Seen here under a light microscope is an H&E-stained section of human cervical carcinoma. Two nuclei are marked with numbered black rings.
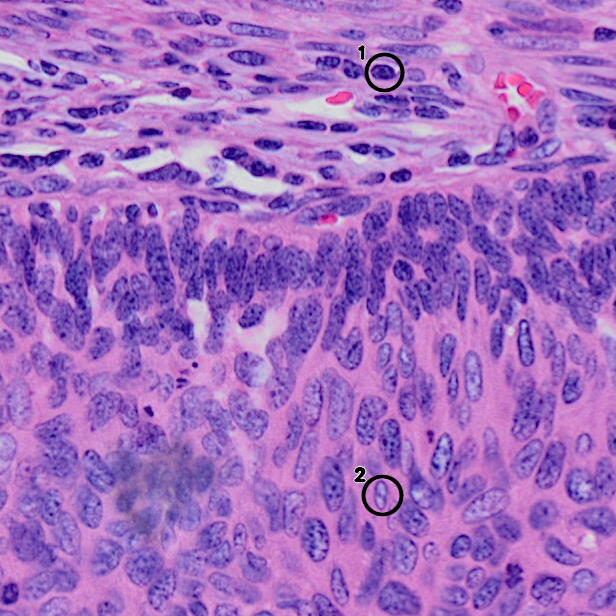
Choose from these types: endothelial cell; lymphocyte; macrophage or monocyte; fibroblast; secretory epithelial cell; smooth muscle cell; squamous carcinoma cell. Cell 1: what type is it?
lymphocyte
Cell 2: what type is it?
squamous carcinoma cell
